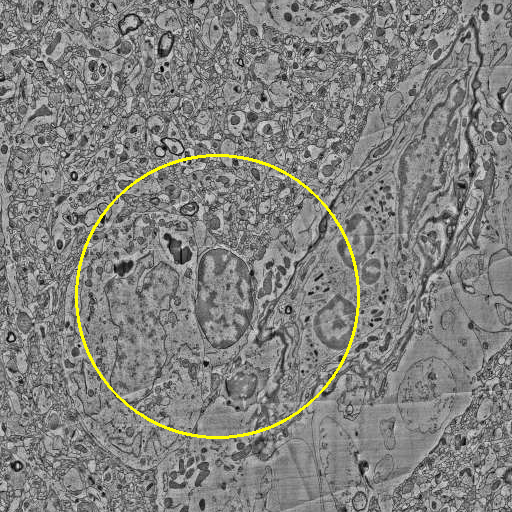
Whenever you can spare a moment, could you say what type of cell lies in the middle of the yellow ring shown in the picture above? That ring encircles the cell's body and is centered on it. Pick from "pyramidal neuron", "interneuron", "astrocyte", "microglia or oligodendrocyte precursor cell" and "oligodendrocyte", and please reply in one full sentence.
The cell whose body sits at the middle of the yellow ring is a microglial cell or oligodendrocyte precursor cell.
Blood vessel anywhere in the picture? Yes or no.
Yes, a blood vessel is present in this picture.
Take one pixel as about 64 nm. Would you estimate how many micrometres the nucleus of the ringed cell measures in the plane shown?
Roughly 6 by 4 micrometres; in this plane, clearly longer than it is wide.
